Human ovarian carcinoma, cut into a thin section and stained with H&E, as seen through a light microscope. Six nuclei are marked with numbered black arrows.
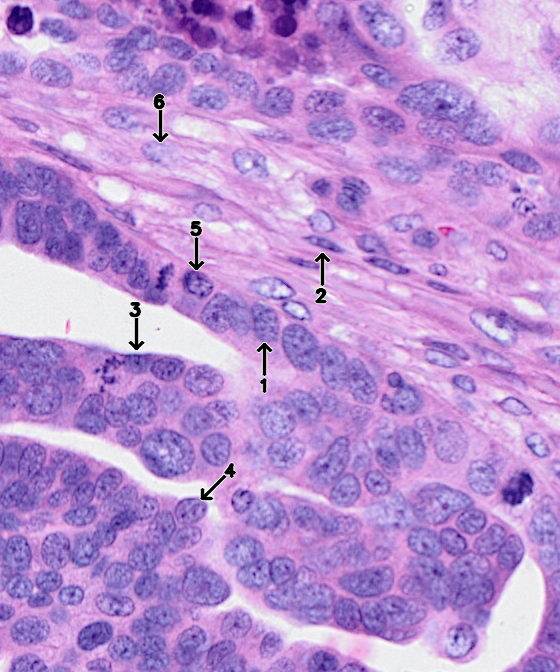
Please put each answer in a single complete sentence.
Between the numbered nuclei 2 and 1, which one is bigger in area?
Number 1 is larger; its area is about 3 times that of number 2.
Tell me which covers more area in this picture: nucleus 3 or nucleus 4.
Nucleus 4 is the larger one, covering about 1.5 times the area of nucleus 3.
